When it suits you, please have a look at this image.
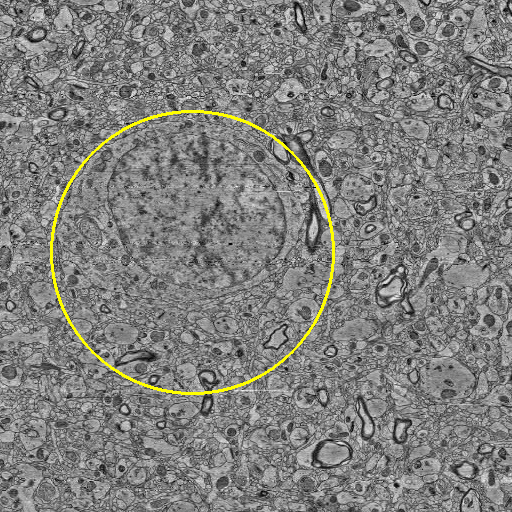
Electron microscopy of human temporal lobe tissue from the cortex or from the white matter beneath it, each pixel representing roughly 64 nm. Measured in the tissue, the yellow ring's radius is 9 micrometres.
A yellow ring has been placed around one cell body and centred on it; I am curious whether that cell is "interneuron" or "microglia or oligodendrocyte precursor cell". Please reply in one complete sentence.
The ringed cell, an interneuron, has its body at the centre of the yellow ring.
